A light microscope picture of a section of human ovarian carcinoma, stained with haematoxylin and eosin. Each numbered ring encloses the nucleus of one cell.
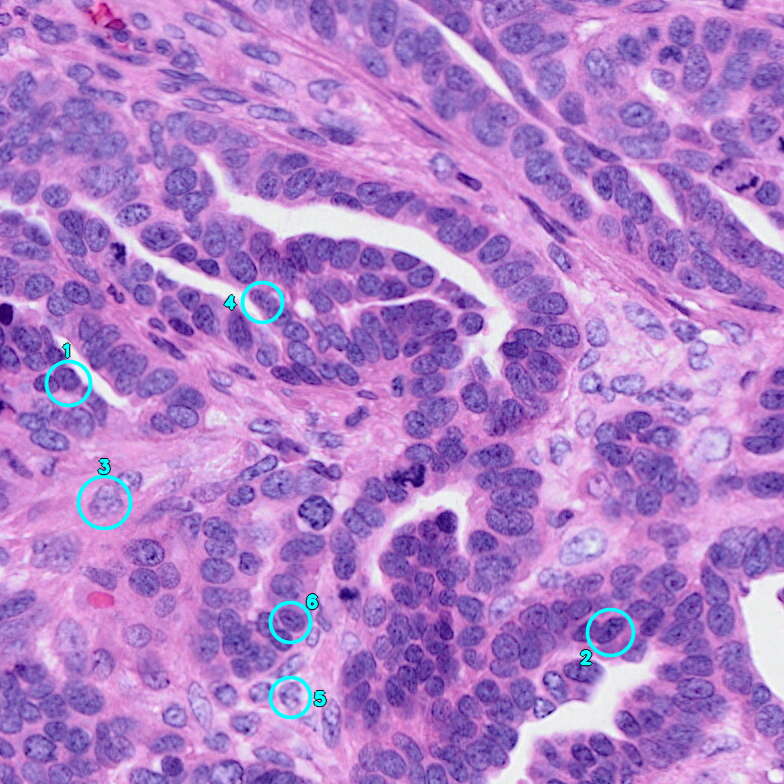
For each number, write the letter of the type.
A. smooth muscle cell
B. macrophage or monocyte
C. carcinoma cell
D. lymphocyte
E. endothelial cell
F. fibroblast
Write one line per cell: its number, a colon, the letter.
1: C
2: C
3: F
4: C
5: F
6: C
